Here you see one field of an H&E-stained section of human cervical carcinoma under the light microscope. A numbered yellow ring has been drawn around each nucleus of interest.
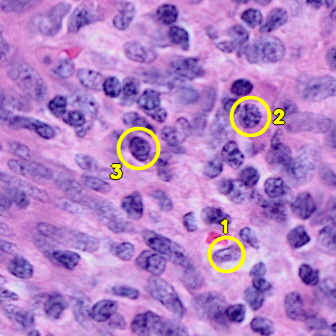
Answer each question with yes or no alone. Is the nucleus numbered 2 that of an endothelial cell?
no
